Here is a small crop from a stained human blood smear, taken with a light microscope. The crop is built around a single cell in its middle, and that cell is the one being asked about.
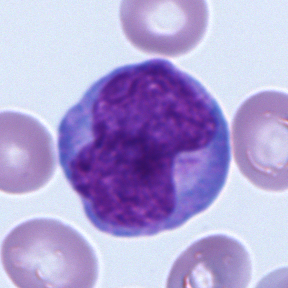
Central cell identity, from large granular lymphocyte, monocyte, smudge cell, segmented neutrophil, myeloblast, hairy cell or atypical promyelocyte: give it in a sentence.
The cell occupying the middle of the crop is an atypical promyelocyte.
